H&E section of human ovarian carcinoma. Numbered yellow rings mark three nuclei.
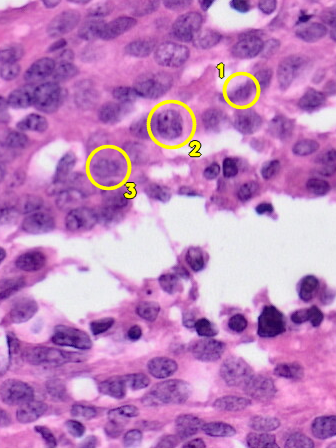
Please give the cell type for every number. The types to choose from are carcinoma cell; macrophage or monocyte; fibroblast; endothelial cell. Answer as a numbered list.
1. carcinoma cell
2. macrophage or monocyte
3. carcinoma cell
